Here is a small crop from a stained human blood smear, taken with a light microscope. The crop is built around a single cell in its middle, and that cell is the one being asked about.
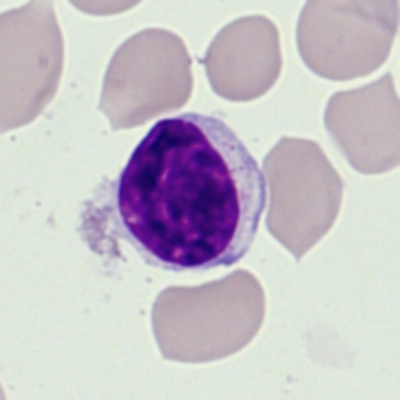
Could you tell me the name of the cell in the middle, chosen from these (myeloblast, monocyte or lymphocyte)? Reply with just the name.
lymphocyte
